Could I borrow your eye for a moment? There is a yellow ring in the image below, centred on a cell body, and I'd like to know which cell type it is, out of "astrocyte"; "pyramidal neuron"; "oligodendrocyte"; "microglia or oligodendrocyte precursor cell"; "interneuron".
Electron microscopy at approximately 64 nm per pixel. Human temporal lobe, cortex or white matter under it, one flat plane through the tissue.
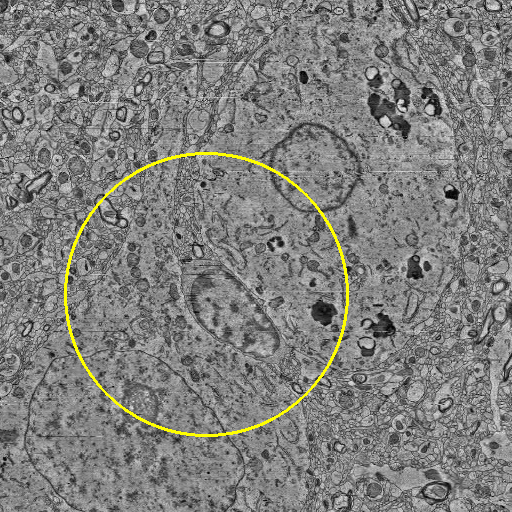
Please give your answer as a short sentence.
The cell body at the centre is that of an oligodendrocyte.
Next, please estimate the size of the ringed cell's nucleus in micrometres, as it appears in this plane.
The nucleus of the ringed cell is clearly longer than it is wide in this plane, about 7 by 4 micrometres.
